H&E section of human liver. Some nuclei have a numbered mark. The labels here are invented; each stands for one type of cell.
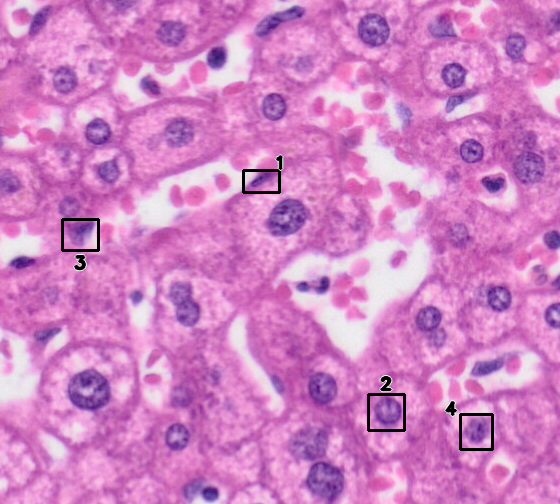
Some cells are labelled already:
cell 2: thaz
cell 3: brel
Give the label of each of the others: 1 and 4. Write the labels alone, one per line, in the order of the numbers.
brel
thaz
